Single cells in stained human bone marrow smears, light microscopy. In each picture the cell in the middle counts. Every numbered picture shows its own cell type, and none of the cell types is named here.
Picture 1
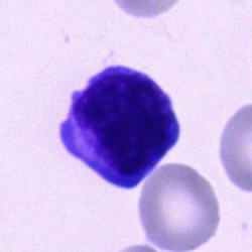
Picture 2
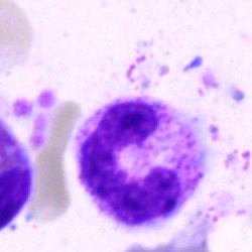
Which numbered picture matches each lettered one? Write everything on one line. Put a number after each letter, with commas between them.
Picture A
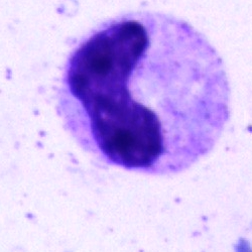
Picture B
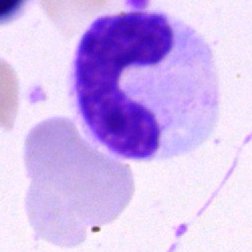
A 2, B 2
